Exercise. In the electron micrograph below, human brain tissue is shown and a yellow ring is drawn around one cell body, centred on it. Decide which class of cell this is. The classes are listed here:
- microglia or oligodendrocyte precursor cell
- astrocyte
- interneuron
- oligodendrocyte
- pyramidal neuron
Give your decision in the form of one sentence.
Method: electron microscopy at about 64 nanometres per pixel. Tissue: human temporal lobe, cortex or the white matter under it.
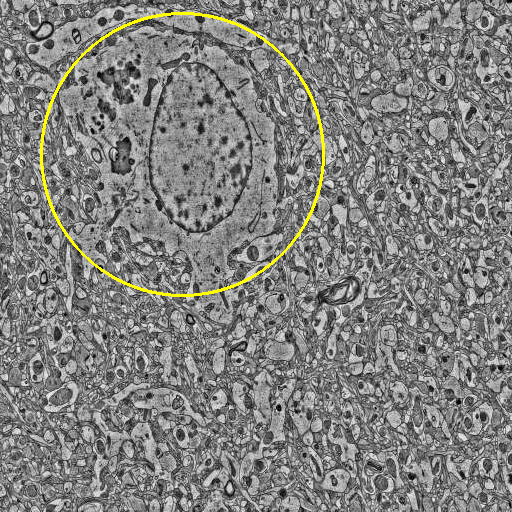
The cell body marked by the ring belongs to an astrocyte.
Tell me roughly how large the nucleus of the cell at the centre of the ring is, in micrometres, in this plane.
About 11 by 7 micrometers in this plane, so the nucleus is clearly longer than it is wide.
